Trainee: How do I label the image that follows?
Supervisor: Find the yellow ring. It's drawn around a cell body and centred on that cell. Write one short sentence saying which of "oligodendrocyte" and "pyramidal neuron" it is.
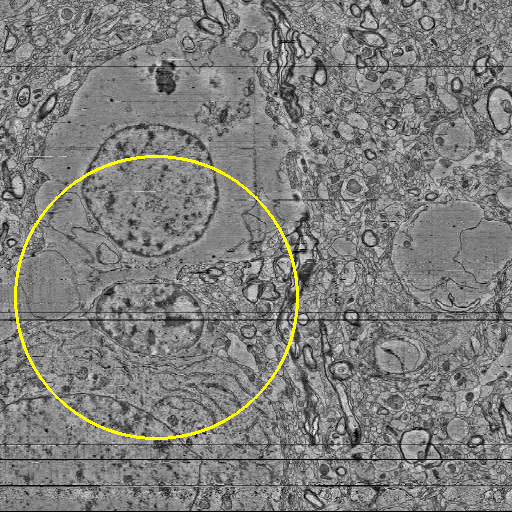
This is the cell body of an oligodendrocyte.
